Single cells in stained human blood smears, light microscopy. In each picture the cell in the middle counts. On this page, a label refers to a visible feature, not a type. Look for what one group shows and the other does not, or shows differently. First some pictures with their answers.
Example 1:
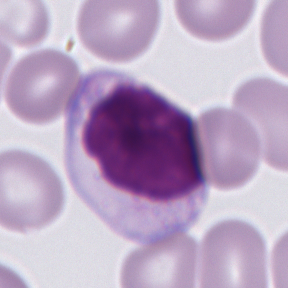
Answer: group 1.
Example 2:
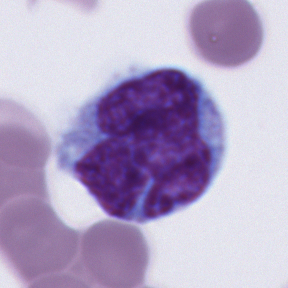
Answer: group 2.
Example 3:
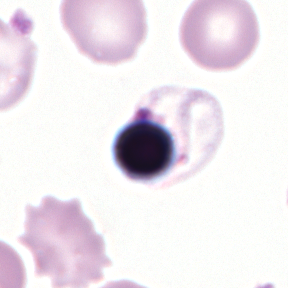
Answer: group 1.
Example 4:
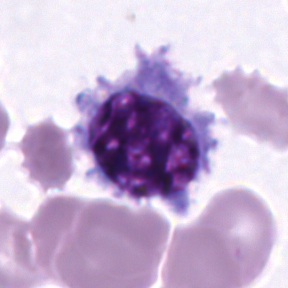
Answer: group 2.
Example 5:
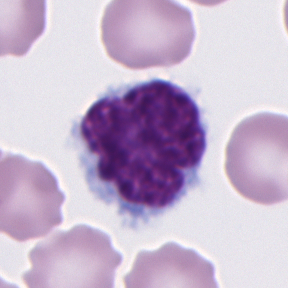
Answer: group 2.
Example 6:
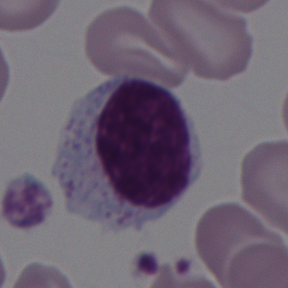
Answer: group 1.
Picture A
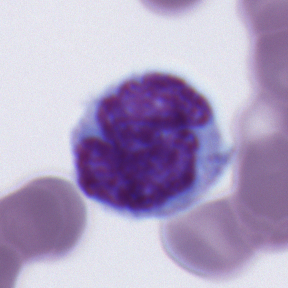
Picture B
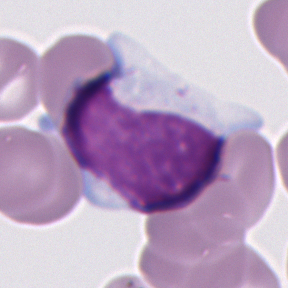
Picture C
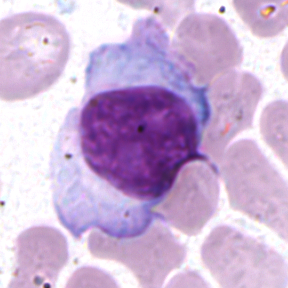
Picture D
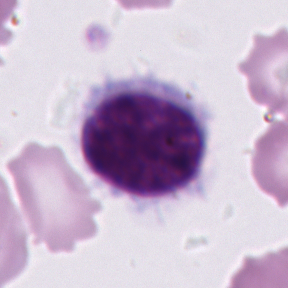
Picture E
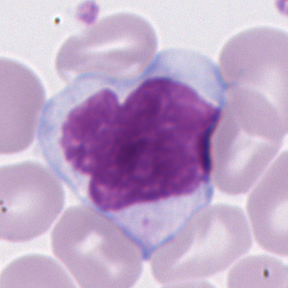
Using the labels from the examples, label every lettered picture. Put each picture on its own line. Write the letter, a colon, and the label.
A: group 2.
B: group 1.
C: group 1.
D: group 2.
E: group 1.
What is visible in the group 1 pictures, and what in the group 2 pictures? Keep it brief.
group 1: abundant cytoplasm; group 2: scant cytoplasm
